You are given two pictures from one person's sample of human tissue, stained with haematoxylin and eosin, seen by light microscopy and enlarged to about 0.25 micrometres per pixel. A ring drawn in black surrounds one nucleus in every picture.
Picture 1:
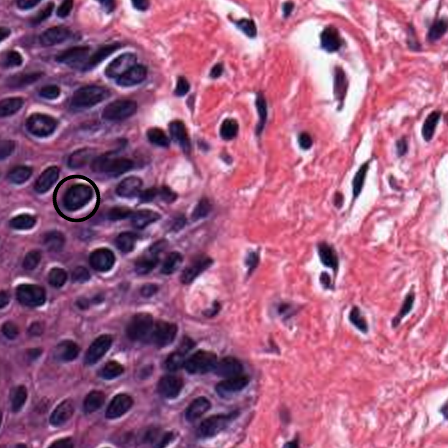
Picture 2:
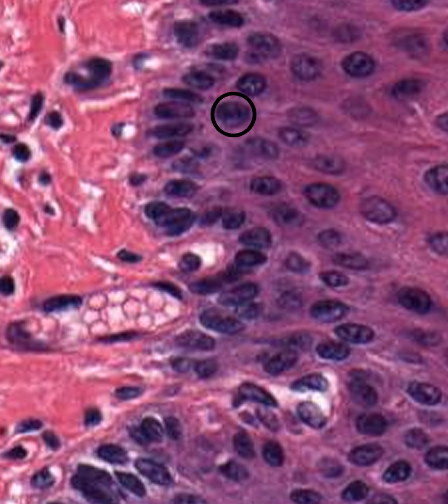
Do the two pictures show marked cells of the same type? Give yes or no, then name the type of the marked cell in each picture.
Yes, both are squamous epithelial cells.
